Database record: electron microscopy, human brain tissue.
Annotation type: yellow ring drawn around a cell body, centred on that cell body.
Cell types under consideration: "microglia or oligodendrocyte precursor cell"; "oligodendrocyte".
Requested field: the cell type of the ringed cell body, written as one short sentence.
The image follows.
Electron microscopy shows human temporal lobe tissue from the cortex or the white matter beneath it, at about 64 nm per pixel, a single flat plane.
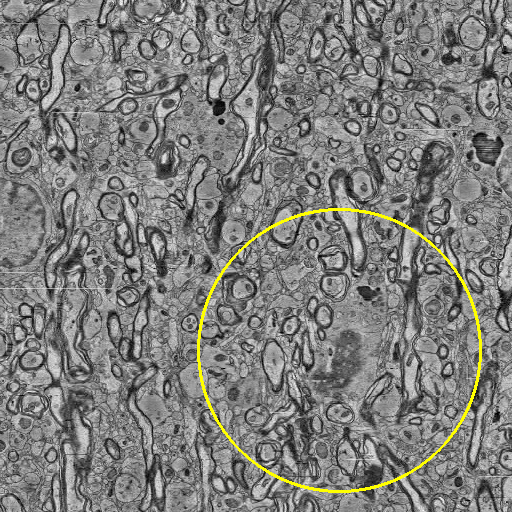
The ringed cell body represents an oligodendrocyte.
